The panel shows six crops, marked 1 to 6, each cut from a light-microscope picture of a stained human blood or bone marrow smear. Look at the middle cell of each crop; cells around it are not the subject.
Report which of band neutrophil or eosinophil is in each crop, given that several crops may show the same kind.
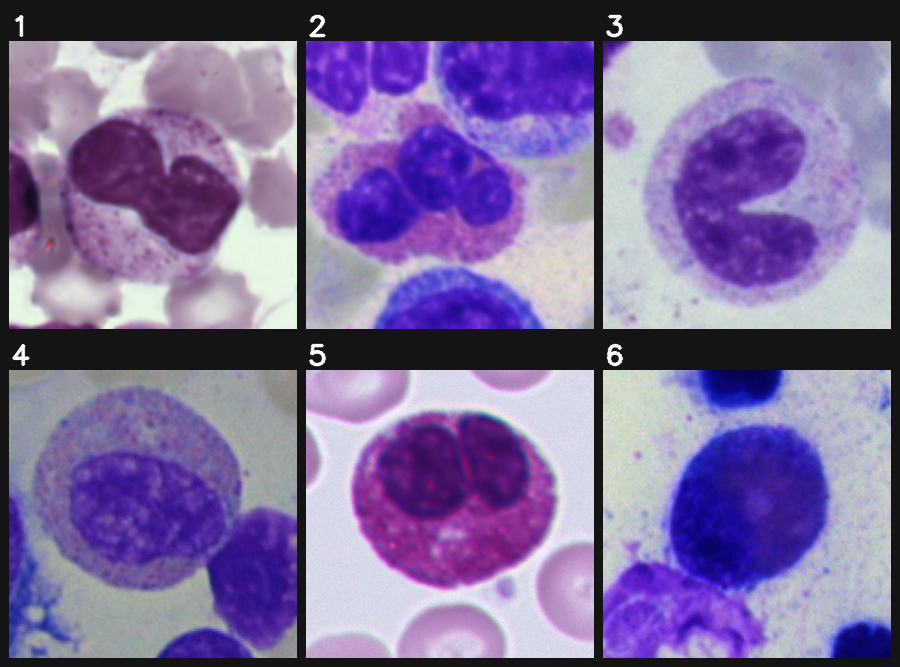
1: band neutrophil
2: eosinophil
3: band neutrophil
4: eosinophil
5: eosinophil
6: eosinophil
